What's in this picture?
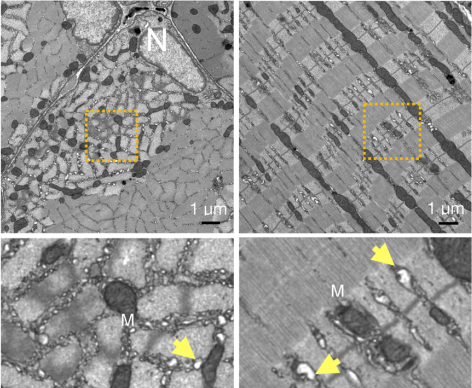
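Skeletal muscle fibres are seen in cross and longitudinal section, with a nucleus at the fibre edge, myofibrils, and dark elongated mitochondria between them. The spaces between the myofibrils are filled with a network of many pale, dilated, bubble-like membrane profiles, some markedly swollen, which is unlike the thin tubules of normal muscle. These are expanded sarcoplasmic reticulum membranes.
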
